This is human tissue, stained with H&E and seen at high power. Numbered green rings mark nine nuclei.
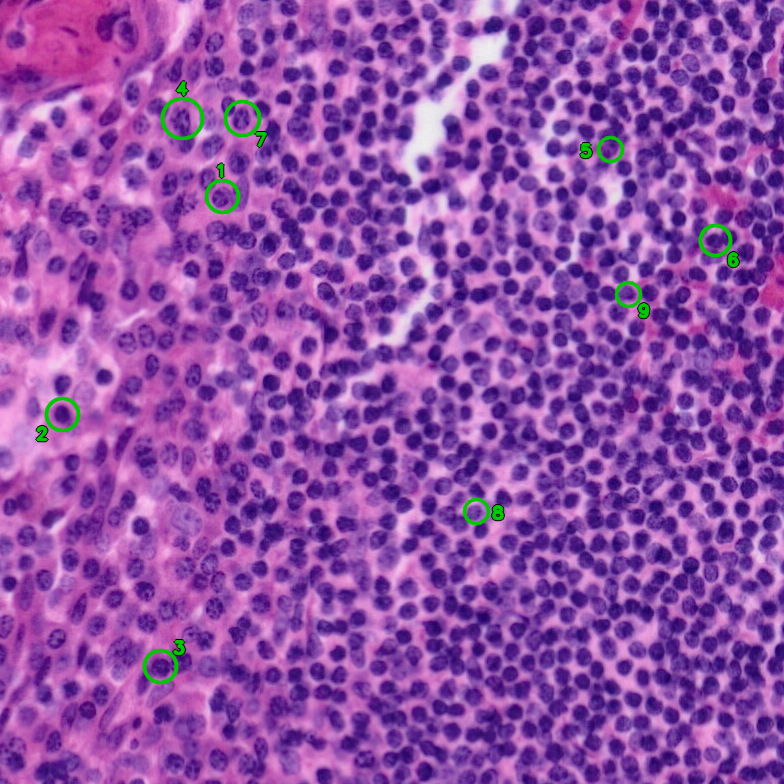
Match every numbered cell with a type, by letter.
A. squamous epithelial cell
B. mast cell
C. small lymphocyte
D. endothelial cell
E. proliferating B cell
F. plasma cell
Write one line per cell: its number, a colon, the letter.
1: F
2: F
3: F
4: F
5: C
6: C
7: F
8: C
9: C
